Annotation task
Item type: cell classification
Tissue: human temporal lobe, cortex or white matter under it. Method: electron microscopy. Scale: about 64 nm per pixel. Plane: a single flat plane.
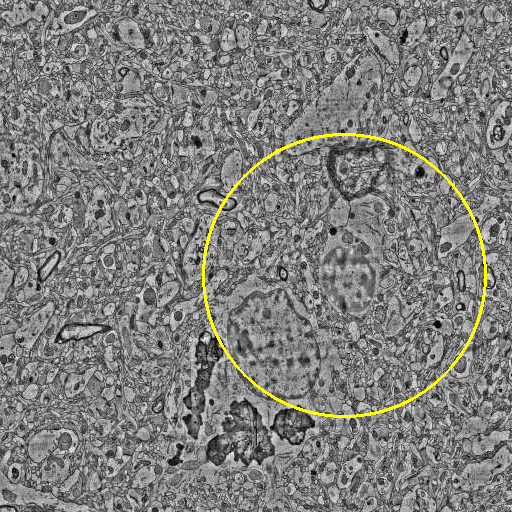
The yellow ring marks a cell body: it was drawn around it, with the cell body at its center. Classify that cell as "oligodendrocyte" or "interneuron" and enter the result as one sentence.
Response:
The ring's center falls on an oligodendrocyte.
